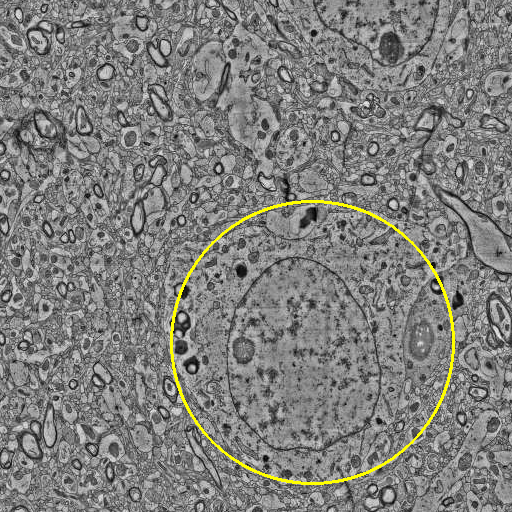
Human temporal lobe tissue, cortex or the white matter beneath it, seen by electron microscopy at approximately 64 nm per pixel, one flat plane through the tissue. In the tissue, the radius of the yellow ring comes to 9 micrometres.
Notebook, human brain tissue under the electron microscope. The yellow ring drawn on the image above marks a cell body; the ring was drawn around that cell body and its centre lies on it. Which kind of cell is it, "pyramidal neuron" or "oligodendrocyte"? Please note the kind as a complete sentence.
The marked cell body is that of a pyramidal neuron.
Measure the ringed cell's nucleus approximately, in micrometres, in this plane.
In this plane the nucleus spans approximately 13 by 10 micrometers.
